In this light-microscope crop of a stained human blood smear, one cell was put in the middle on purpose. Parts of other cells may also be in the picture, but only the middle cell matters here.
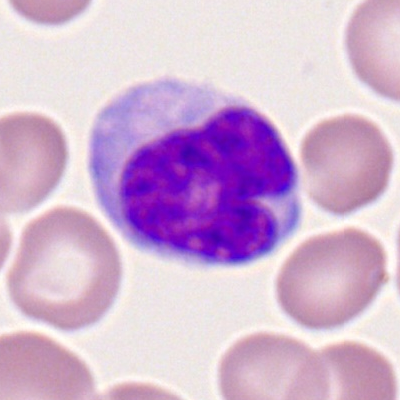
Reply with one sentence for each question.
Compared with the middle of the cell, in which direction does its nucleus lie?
The nucleus sits off-centre, toward the lower right.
